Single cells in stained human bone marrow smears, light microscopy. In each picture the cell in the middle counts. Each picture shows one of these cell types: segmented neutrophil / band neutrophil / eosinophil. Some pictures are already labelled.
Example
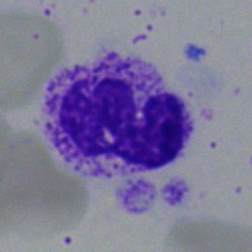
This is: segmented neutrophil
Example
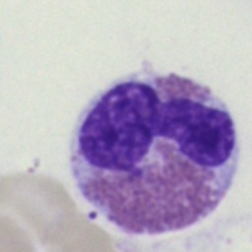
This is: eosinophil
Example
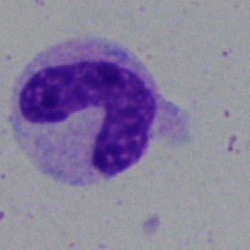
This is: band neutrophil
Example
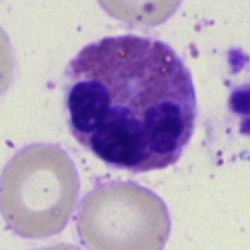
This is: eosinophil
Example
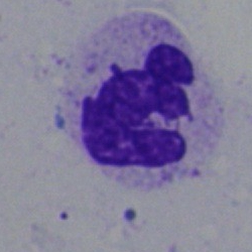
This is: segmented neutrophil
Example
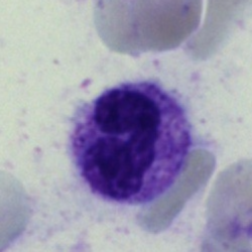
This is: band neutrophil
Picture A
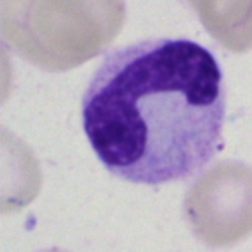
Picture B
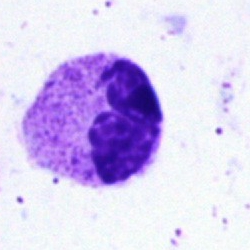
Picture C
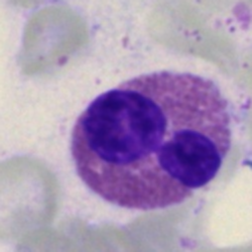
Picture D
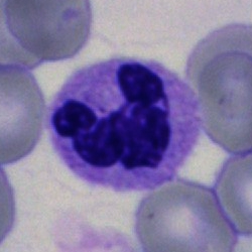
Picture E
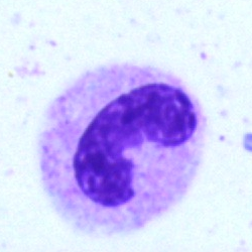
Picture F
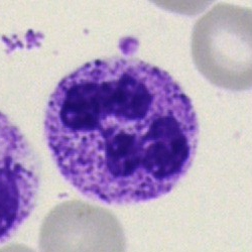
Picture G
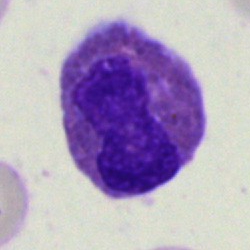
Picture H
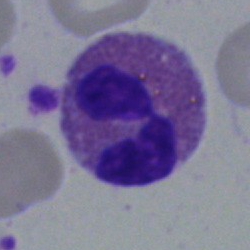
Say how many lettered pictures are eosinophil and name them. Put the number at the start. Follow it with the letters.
3: C, G, H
